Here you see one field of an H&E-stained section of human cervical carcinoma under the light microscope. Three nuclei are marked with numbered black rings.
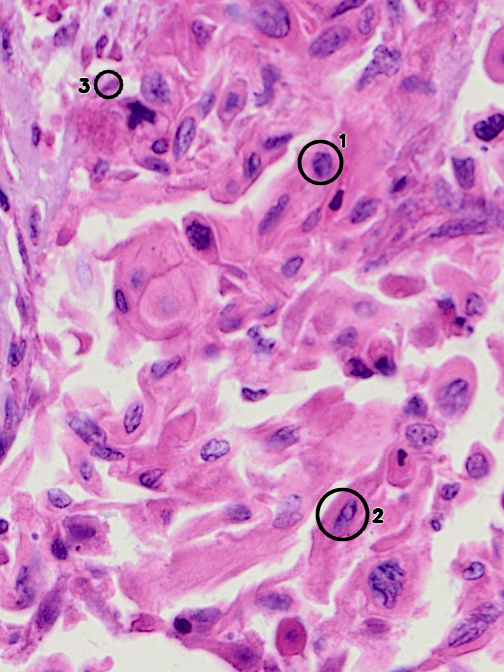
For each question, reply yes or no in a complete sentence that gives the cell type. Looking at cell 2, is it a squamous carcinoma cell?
Yes, the one numbered 2 is a squamous carcinoma cell.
